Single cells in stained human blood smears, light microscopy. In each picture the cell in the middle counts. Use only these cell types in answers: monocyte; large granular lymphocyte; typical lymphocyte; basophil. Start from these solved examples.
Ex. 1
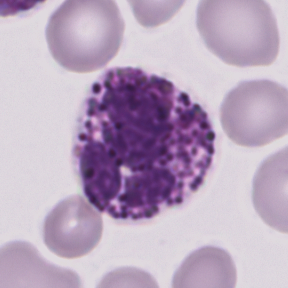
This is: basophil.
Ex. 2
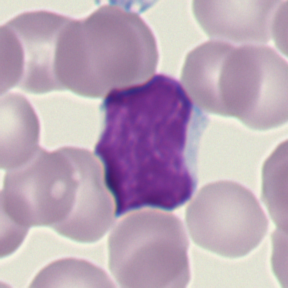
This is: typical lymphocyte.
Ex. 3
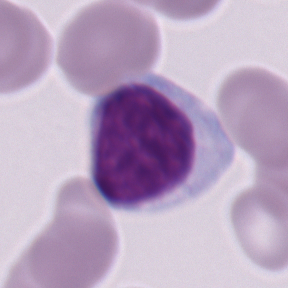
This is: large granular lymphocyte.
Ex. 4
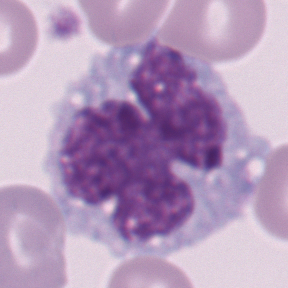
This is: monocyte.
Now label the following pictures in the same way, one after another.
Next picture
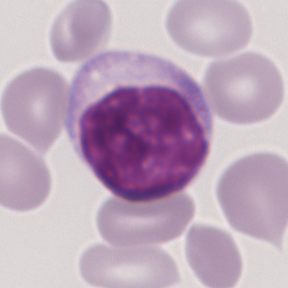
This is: large granular lymphocyte.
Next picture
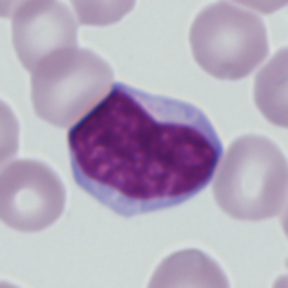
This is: large granular lymphocyte.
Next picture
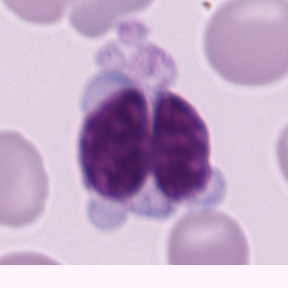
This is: large granular lymphocyte.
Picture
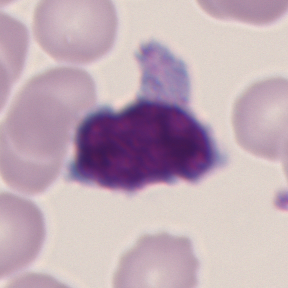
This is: typical lymphocyte.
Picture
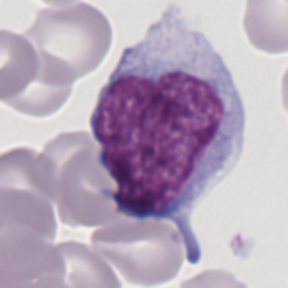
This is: monocyte.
